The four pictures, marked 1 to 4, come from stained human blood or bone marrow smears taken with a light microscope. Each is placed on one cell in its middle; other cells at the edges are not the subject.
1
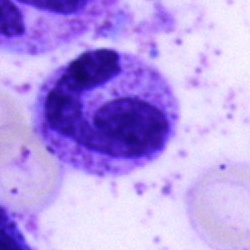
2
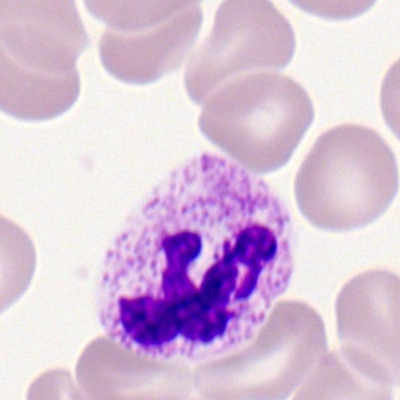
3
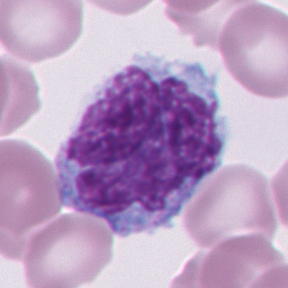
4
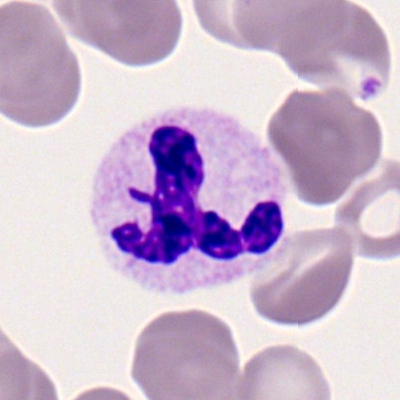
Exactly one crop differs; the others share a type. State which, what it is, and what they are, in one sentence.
The outlier here is crop 3, which is a monocyte, while the remainder show segmented neutrophils.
